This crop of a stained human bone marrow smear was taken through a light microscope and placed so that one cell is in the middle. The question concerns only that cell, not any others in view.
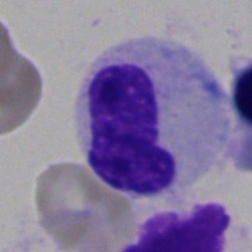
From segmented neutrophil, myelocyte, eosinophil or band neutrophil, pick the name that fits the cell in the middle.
band neutrophil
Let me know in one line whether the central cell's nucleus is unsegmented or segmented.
One compact mass makes up the whole nucleus, round, oval or kidney-shaped.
